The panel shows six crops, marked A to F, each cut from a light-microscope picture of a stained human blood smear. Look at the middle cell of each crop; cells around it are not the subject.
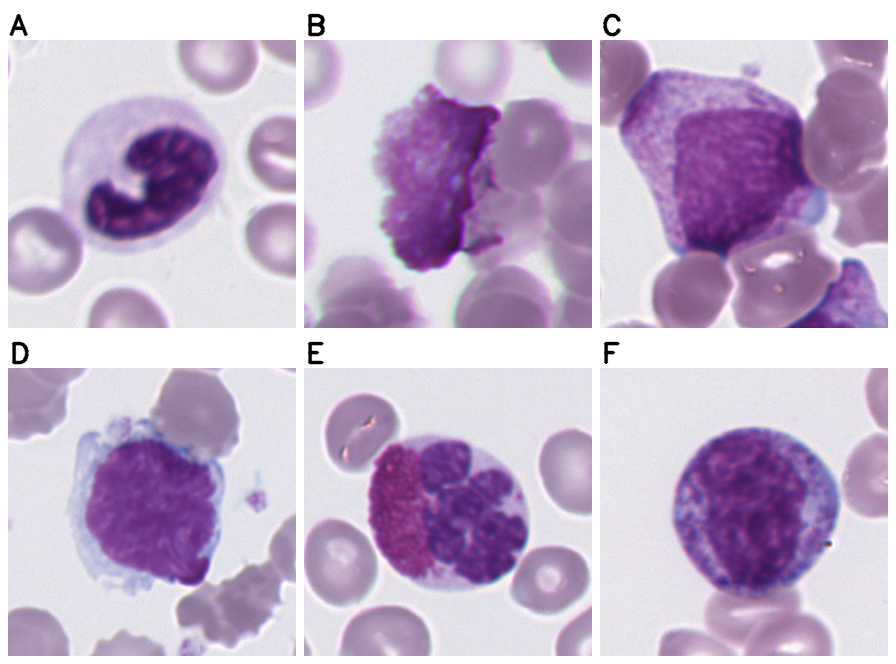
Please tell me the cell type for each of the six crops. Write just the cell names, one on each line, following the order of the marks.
band neutrophil
smudge cell
atypical promyelocyte
typical lymphocyte
eosinophil
myelocyte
